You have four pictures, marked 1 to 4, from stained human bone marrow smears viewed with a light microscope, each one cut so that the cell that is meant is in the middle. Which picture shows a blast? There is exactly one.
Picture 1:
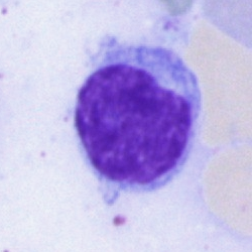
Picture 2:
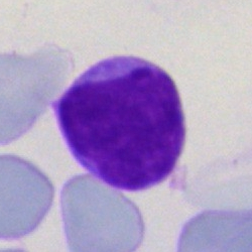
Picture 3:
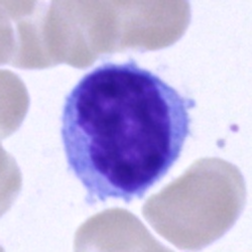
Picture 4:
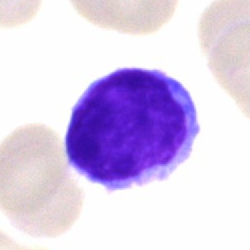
2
